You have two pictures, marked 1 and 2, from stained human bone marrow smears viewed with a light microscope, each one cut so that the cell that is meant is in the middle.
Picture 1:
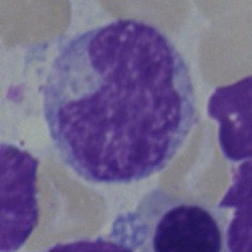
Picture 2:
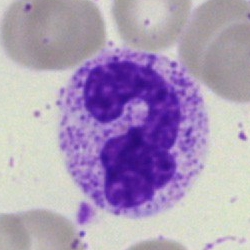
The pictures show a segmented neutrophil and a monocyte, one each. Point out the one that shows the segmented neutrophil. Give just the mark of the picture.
2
